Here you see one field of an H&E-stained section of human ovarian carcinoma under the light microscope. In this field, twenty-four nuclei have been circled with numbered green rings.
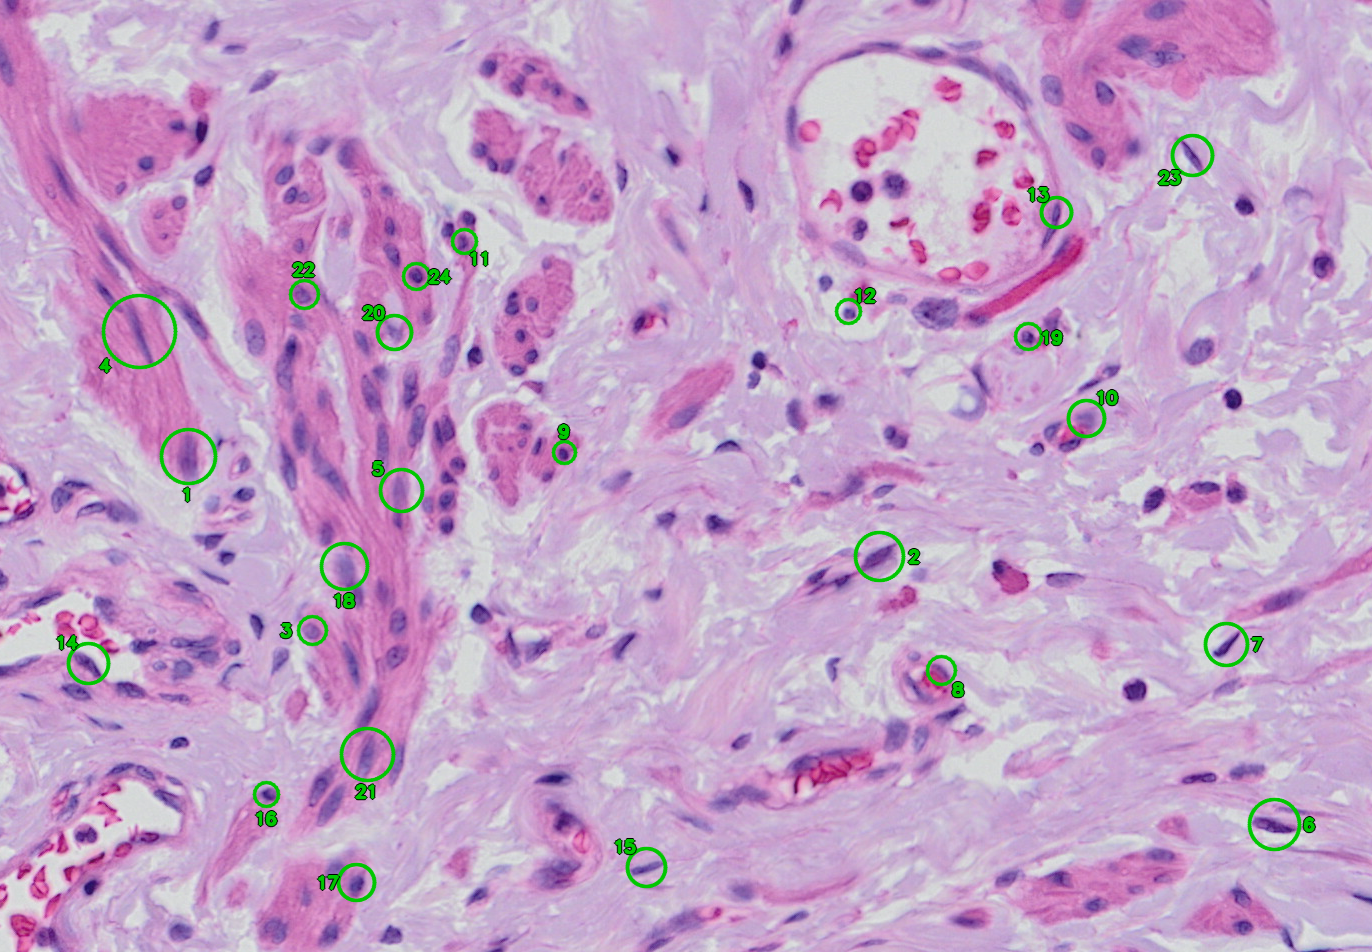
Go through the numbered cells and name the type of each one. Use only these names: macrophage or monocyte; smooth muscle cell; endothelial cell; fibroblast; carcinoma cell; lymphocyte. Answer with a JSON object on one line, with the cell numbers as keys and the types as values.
{"1": "smooth muscle cell", "2": "fibroblast", "3": "smooth muscle cell", "4": "smooth muscle cell", "5": "smooth muscle cell", "6": "fibroblast", "7": "fibroblast", "8": "endothelial cell", "9": "smooth muscle cell", "10": "endothelial cell", "11": "smooth muscle cell", "12": "lymphocyte", "13": "endothelial cell", "14": "endothelial cell", "15": "fibroblast", "16": "smooth muscle cell", "17": "smooth muscle cell", "18": "smooth muscle cell", "19": "endothelial cell", "20": "smooth muscle cell", "21": "smooth muscle cell", "22": "smooth muscle cell", "23": "fibroblast", "24": "smooth muscle cell"}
